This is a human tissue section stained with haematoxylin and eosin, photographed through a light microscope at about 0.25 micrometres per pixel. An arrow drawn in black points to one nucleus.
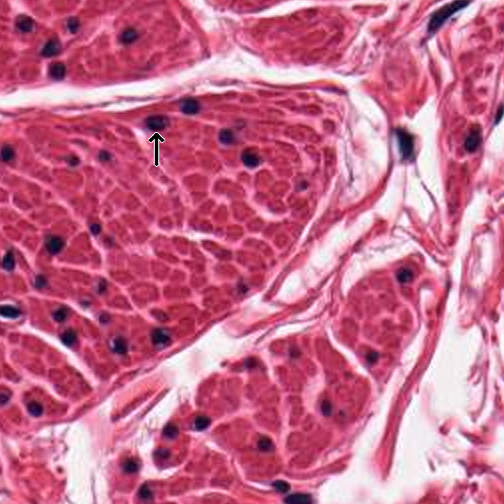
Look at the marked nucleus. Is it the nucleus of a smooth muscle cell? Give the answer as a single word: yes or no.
yes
